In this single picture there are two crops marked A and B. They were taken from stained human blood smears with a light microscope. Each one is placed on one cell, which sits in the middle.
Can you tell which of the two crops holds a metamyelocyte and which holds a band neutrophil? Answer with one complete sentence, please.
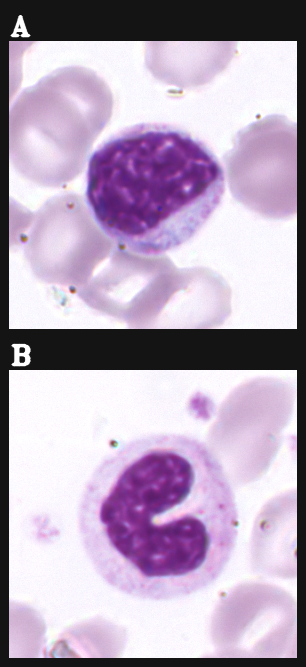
The cell of crop A is a metamyelocyte; that of crop B is a band neutrophil.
